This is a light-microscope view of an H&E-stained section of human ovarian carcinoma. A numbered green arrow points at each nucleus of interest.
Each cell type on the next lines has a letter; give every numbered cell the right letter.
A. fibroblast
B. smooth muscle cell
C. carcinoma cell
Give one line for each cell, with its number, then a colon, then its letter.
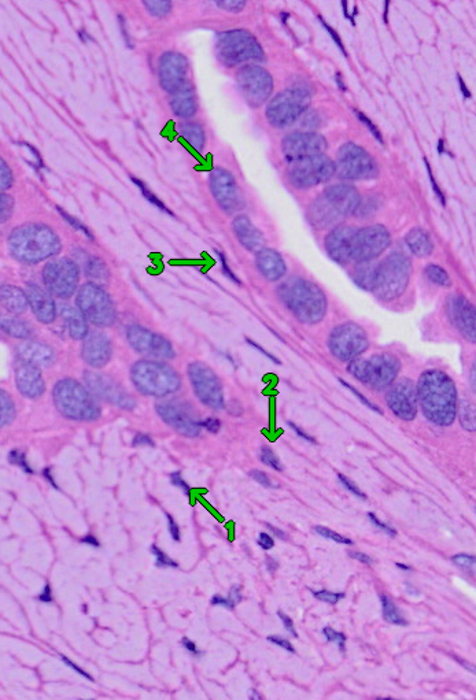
1: A
2: A
3: A
4: C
